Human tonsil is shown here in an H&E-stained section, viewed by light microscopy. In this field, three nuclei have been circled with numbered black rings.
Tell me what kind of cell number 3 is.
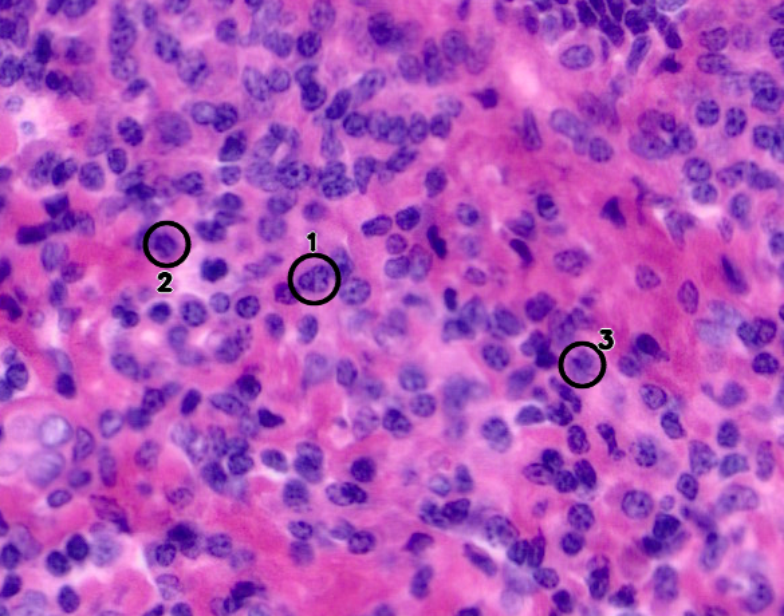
endothelial cell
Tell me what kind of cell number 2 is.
plasma cell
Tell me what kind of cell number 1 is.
plasma cell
